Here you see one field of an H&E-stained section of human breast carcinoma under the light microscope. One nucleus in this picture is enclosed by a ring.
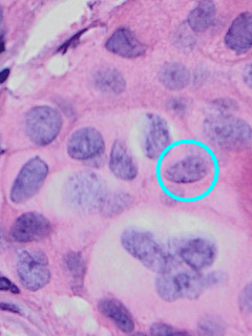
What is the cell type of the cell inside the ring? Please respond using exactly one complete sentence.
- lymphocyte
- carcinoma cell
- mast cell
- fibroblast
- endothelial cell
In this section of tissue, the cell inside the ring is a carcinoma cell.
